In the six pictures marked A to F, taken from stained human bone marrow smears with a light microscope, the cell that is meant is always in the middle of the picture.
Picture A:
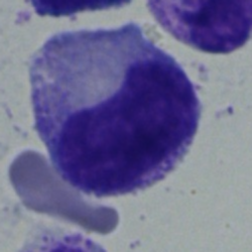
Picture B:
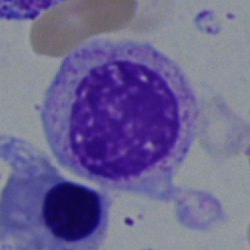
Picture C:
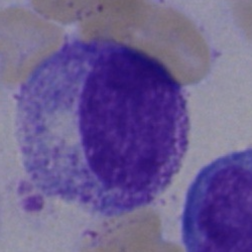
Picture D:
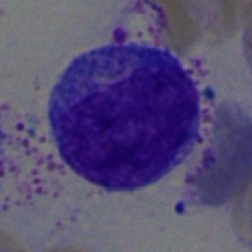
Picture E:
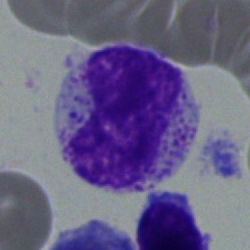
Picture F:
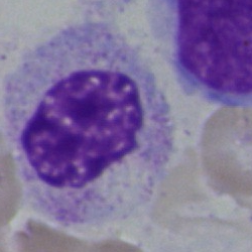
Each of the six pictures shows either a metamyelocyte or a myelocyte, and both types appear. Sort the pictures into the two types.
A: metamyelocyte
B: myelocyte
C: myelocyte
D: myelocyte
E: metamyelocyte
F: myelocyte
